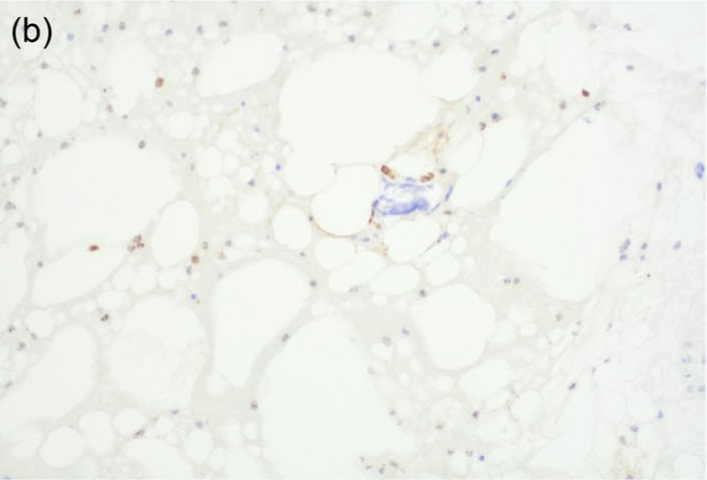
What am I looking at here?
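Tissue with what may be fat cells shows many clear round vacuoles of varying size separated by thin pale septa. A few scattered nuclei stain brown, while others are blue. A small irregular blue-purple acellular deposit lies near the centre, with brown-stained nuclei beside it. The background is pale and sparsely cellular.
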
